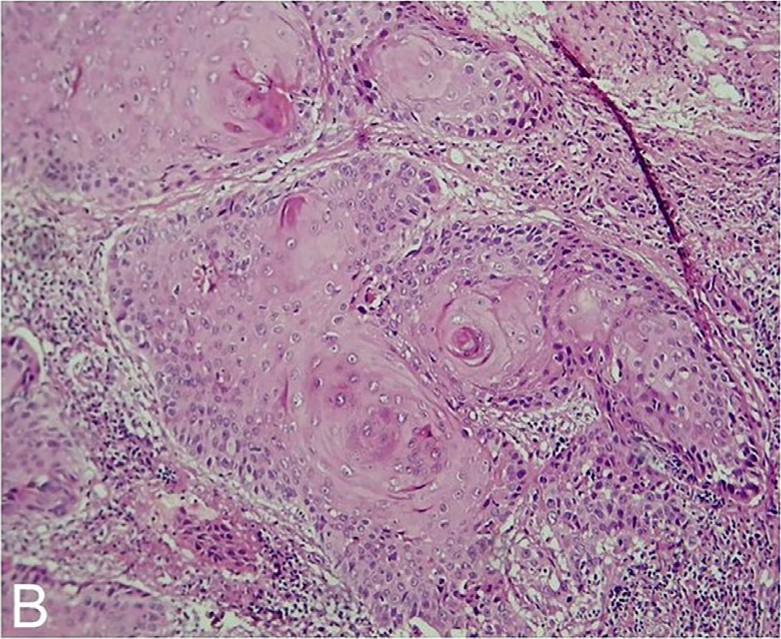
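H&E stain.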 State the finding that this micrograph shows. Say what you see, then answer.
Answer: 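Irregular nests of large polygonal cells with abundant pink cytoplasm sit within stroma. The nests are separated by fibrous stroma containing many small dark inflammatory cells. Pink keratin accumulates in the centres of the nests. So: invasive keratinizing squamous cell carcinoma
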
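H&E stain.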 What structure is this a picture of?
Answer: Keratin pearls.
